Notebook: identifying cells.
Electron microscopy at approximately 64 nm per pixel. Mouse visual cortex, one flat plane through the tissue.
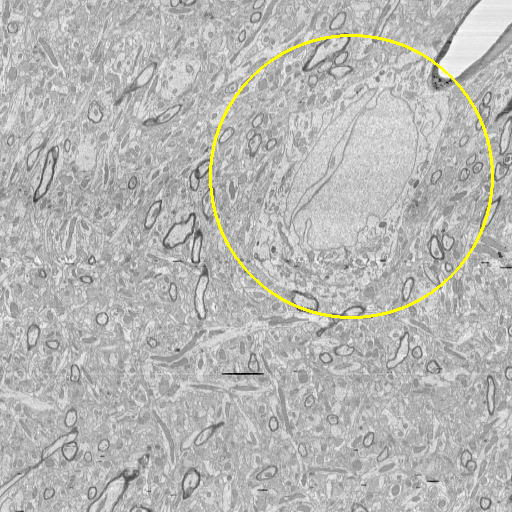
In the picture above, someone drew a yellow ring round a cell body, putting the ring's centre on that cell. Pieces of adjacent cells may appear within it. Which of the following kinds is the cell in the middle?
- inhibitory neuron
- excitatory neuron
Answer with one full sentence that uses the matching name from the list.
In this picture, the yellow ring is centred on the body of an inhibitory neuron.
